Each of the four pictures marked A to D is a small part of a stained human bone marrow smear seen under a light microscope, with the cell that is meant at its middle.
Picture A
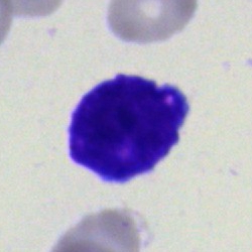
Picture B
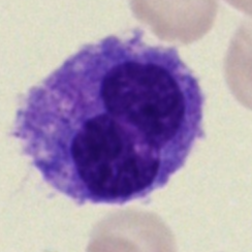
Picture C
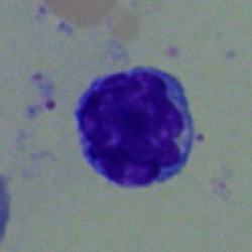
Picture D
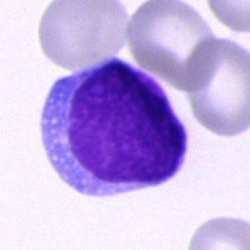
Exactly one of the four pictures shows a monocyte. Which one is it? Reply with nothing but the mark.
B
